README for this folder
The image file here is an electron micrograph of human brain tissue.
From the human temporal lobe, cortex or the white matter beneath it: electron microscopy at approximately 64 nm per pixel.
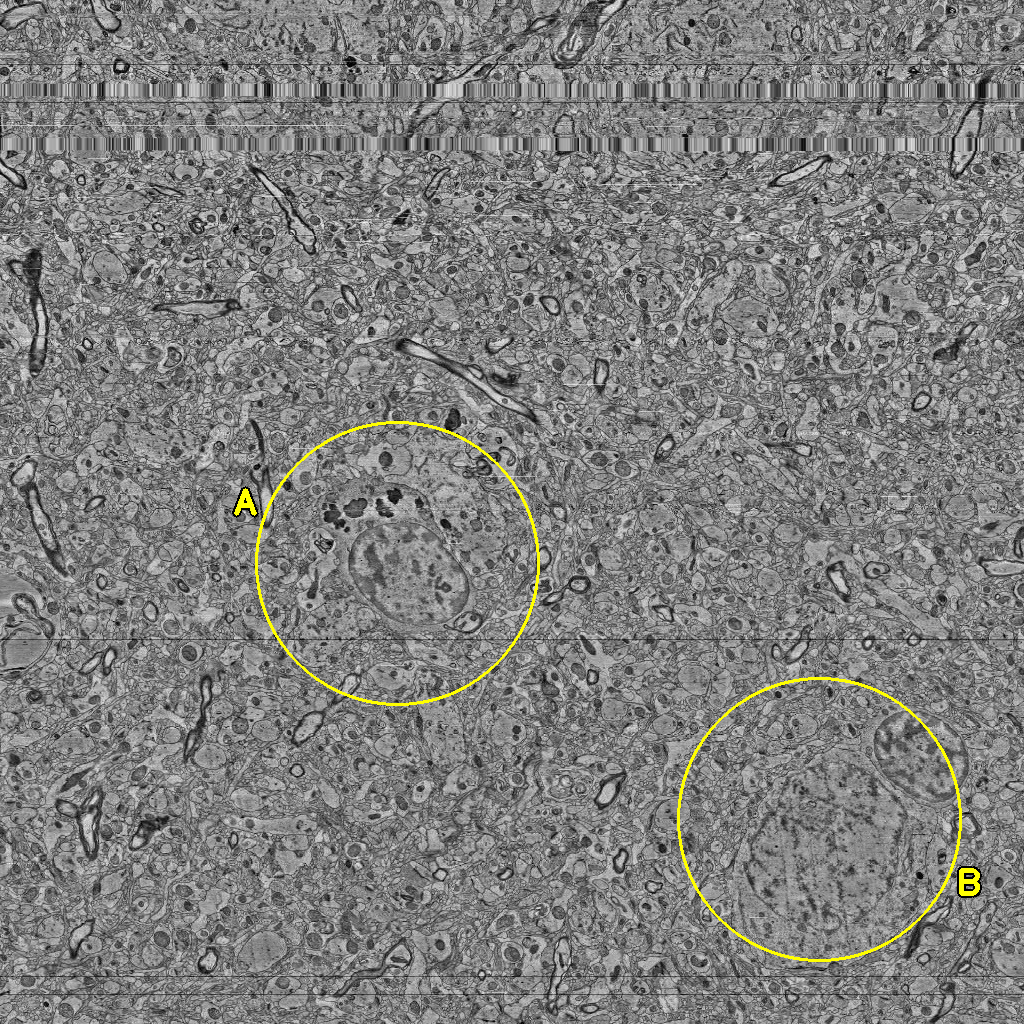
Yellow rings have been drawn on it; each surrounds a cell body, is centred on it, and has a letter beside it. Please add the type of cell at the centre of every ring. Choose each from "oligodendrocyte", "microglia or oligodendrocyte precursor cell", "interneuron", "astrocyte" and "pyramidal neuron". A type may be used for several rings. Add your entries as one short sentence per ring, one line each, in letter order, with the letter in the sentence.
Ring A marks the cell body of an oligodendrocyte.
Ring B marks the cell body of an interneuron.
